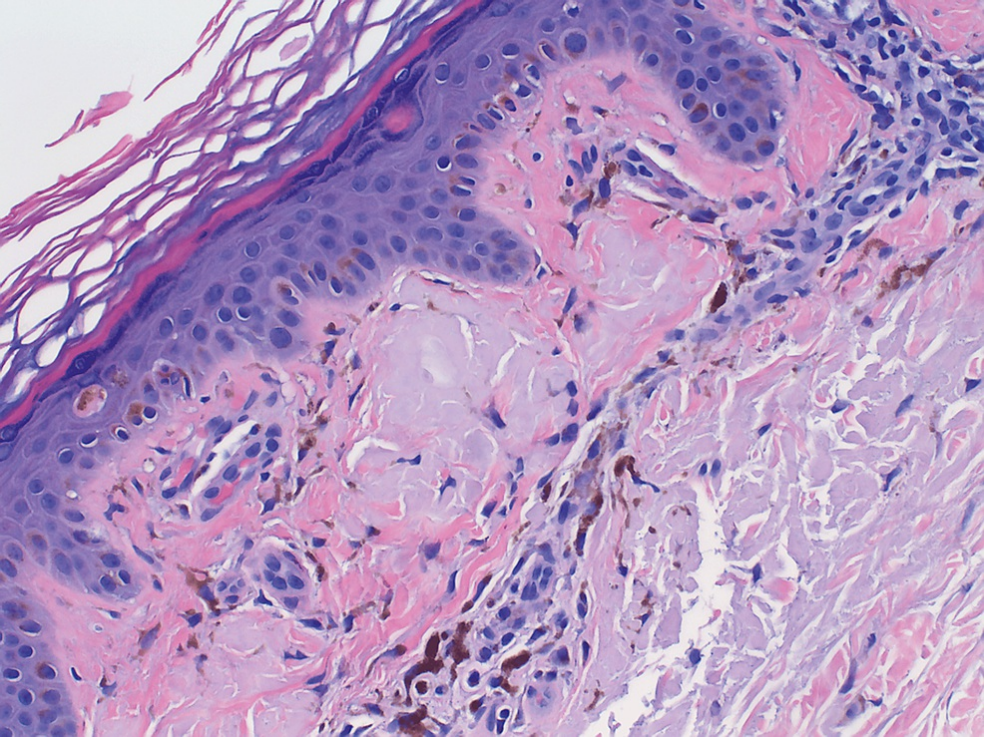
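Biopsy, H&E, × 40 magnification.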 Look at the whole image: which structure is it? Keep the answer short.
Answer: Dull pink globules within the dermal papillae.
